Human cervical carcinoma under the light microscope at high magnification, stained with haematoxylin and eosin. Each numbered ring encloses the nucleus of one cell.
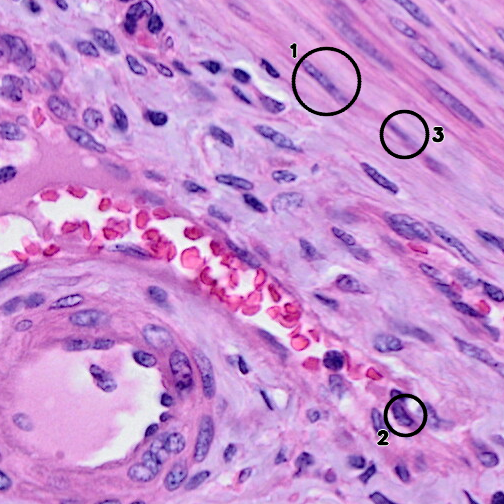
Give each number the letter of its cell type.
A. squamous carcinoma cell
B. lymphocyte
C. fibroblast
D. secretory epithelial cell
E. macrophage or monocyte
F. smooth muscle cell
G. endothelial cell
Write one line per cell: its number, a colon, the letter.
1: F
2: G
3: F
